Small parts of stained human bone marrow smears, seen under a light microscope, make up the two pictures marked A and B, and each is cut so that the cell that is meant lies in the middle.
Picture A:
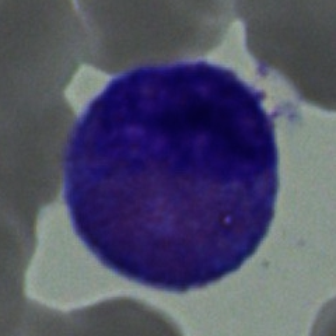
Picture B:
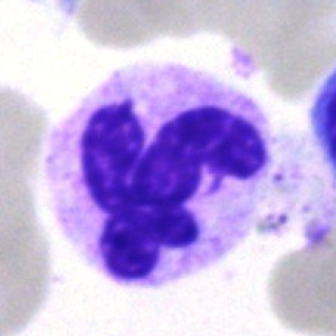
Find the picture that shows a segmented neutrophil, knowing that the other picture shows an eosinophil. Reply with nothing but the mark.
B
